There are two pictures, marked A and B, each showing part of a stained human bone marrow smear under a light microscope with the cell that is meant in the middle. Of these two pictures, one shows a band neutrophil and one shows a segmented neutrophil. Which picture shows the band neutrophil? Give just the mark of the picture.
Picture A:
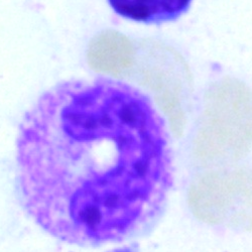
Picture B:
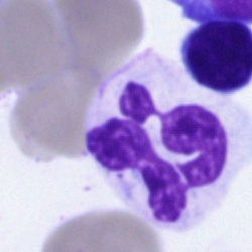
A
